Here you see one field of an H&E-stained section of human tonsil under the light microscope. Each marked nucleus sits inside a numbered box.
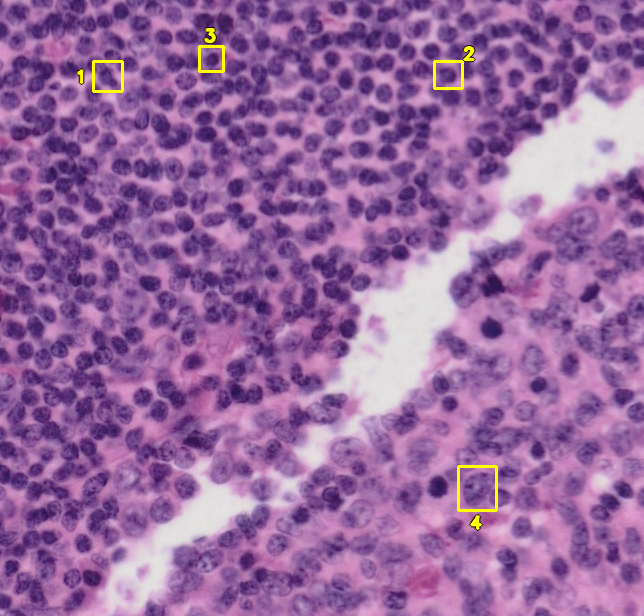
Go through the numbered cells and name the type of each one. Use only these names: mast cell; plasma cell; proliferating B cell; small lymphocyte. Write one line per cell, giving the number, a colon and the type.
1: small lymphocyte
2: small lymphocyte
3: small lymphocyte
4: proliferating B cell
